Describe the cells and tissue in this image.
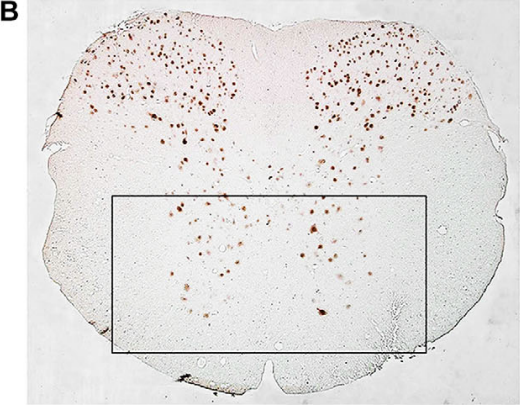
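This is a whole transverse section of spinal cord on a pale background, with brown-stained neuronal cell bodies scattered in the grey matter. Many small brown cells crowd the two upper horns on either side of the midline, while in the lower part of the section, enclosed by a black rectangle, fewer brown cell bodies lie scattered in the anterior horns, some of them larger.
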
